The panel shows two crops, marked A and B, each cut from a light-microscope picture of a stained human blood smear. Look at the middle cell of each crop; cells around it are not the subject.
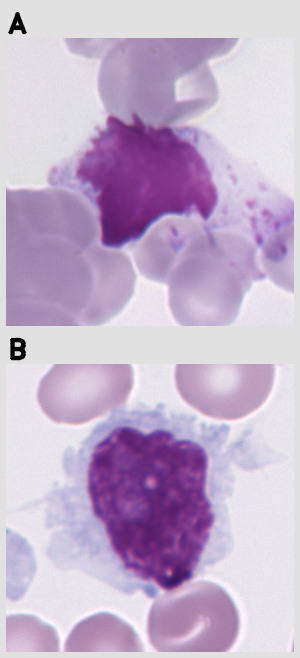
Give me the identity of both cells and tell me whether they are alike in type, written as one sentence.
No, a large granular lymphocyte is in crop A, and a hairy cell is in crop B.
